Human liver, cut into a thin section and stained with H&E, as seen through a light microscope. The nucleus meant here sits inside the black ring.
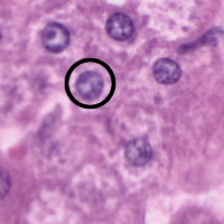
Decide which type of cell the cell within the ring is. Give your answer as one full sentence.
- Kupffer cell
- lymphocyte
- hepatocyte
Cytologically, the cell within the ring is to be regarded as a hepatocyte.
